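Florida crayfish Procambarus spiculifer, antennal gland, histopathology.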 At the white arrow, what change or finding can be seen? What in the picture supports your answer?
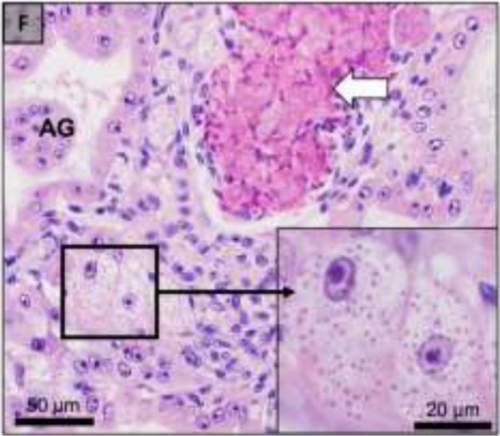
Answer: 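Granuloma. A compact, intensely magenta-red mass sits at the arrow's tip. The mass is rimmed by flattened cells with dark elongated nuclei. Many small, densely packed dark nuclei crowd the tissue around it.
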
